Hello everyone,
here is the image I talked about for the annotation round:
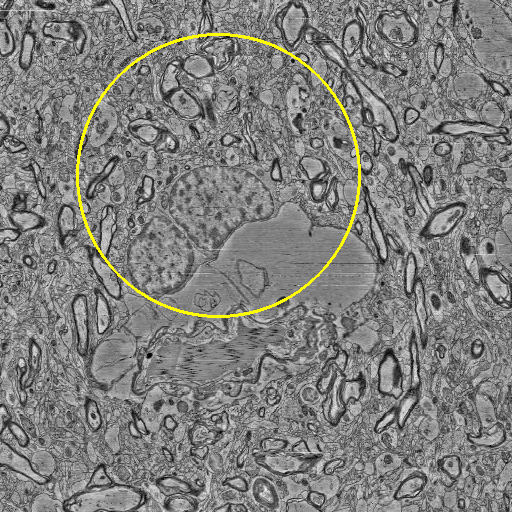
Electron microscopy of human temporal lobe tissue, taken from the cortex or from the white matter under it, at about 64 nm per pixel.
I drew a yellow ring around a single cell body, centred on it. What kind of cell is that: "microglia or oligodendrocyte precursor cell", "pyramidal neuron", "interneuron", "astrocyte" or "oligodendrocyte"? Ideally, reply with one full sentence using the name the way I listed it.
The cell your yellow ring is centred on is an oligodendrocyte, going by your list.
